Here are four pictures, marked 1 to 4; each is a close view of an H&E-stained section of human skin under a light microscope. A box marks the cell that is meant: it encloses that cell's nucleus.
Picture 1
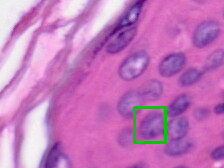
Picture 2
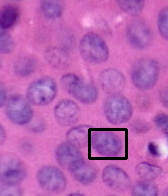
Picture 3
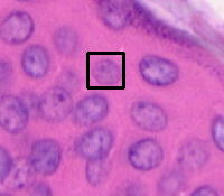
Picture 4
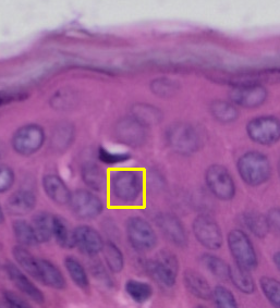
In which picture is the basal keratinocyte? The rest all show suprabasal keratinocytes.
4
